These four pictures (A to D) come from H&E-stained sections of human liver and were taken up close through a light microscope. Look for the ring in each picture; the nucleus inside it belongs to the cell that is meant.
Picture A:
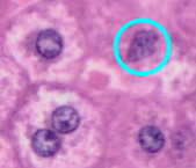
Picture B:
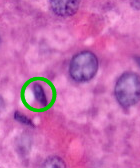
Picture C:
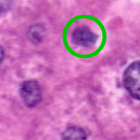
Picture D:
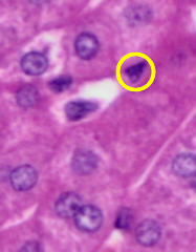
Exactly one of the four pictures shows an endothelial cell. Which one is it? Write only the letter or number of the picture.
C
